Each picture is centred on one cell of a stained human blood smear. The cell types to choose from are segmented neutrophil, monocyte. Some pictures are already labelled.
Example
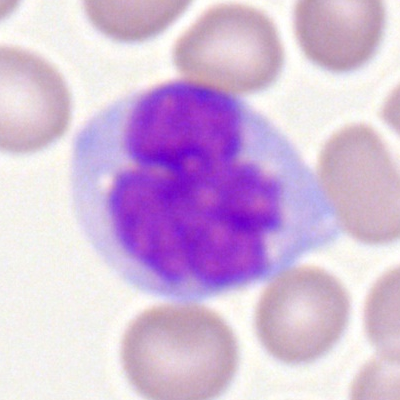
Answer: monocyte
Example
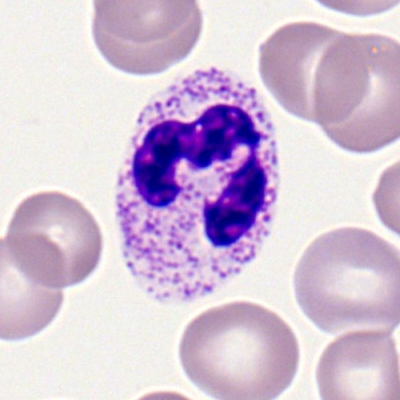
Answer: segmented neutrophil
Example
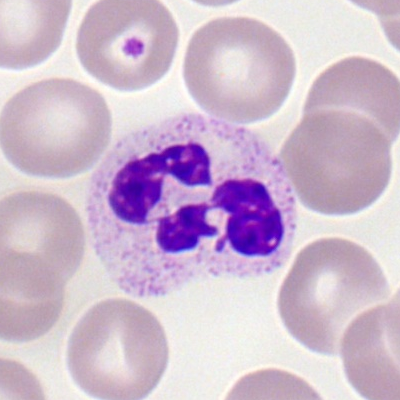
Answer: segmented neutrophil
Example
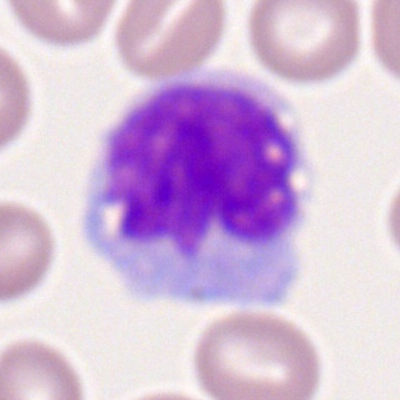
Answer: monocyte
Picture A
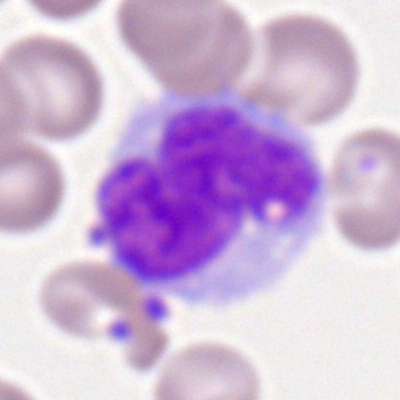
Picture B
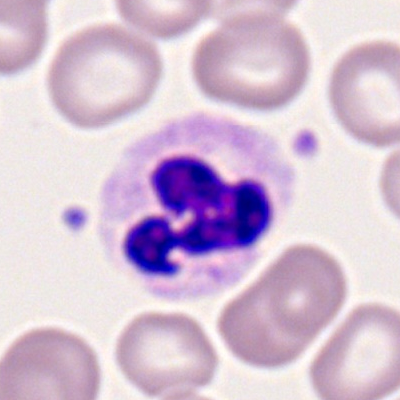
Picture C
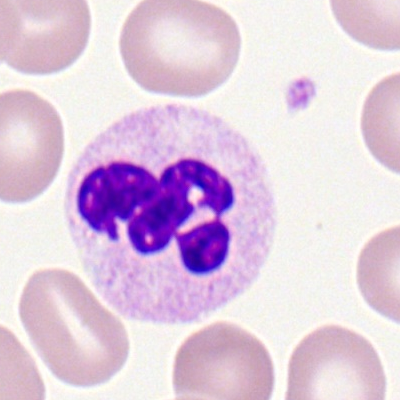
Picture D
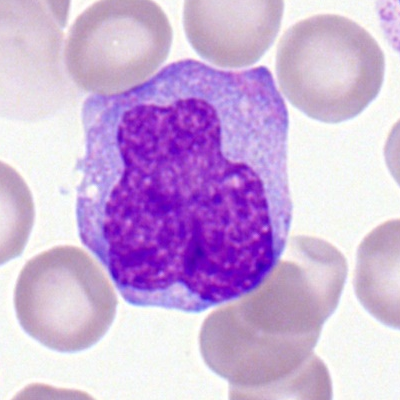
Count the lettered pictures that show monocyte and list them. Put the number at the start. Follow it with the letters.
2, namely A, D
